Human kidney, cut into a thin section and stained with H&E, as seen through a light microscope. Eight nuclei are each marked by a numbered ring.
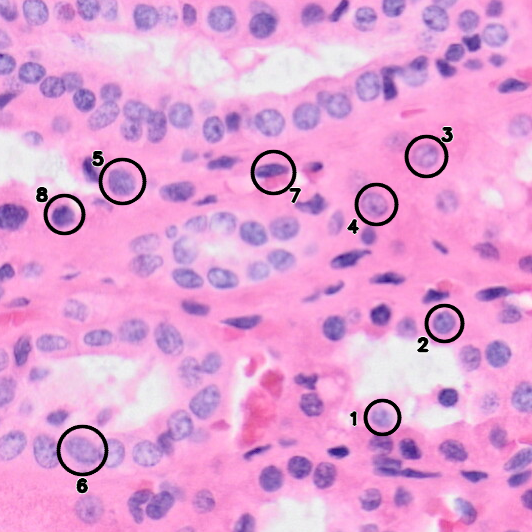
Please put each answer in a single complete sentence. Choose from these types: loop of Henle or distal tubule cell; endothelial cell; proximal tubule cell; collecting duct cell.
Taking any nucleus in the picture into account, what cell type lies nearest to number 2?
The cell nearest to number 2 is an endothelial cell.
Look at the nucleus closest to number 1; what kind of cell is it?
It is a loop of Henle or distal tubule cell whose nucleus is nearest to number 1.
